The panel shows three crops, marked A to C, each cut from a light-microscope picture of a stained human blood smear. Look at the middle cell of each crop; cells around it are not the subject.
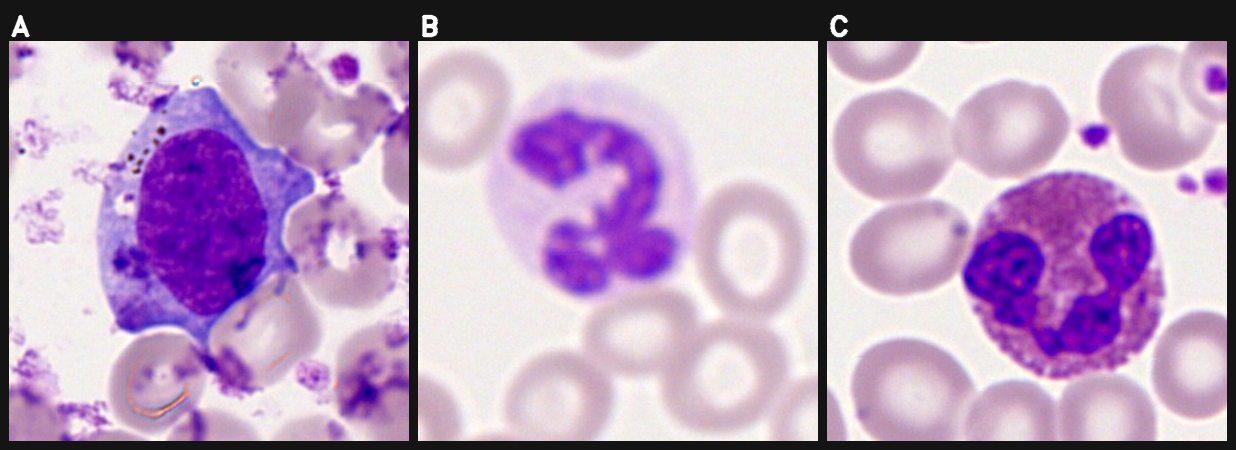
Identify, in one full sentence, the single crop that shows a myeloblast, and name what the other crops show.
Crop A is to be called a myeloblast, while crop B is a segmented neutrophil and crop C is an eosinophil.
